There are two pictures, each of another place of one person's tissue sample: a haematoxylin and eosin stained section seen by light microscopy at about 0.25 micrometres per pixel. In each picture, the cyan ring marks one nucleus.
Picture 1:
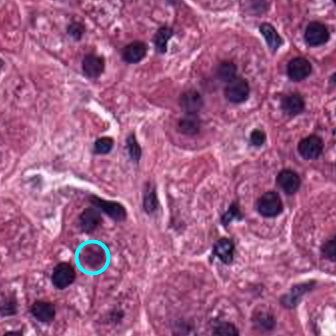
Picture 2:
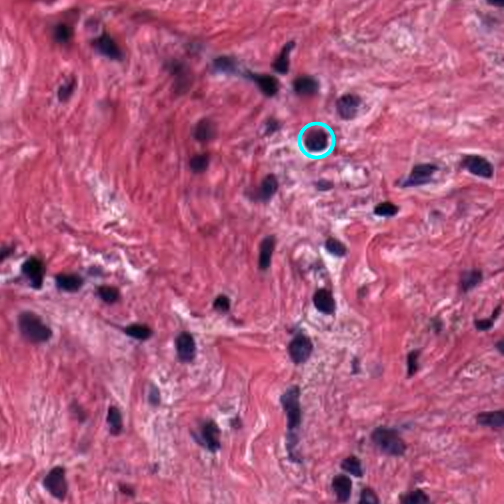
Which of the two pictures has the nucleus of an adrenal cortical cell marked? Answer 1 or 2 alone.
1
